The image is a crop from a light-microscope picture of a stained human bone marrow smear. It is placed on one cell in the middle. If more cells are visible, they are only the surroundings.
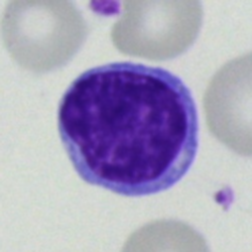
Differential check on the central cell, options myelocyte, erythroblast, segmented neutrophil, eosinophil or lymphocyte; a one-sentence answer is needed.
The central cell in this smear crop is a lymphocyte.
